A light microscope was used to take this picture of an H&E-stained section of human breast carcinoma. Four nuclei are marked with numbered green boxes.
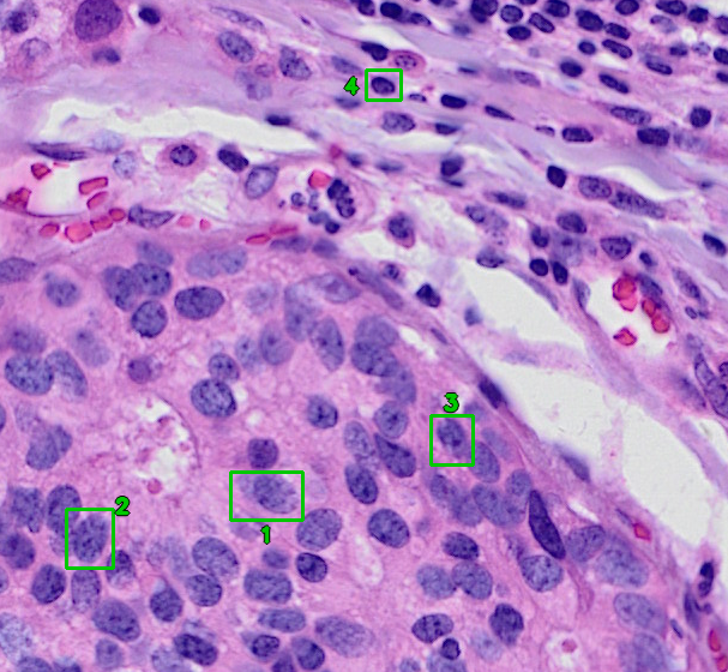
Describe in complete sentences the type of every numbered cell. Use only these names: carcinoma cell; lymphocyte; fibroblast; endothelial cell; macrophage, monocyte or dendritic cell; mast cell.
Cell 1 is a carcinoma cell, cell 2 is a carcinoma cell, cell 3 is a carcinoma cell and cell 4 is a lymphocyte.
